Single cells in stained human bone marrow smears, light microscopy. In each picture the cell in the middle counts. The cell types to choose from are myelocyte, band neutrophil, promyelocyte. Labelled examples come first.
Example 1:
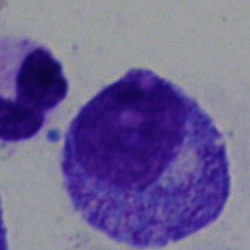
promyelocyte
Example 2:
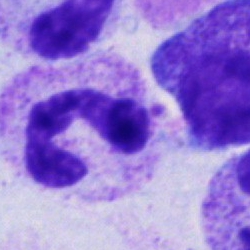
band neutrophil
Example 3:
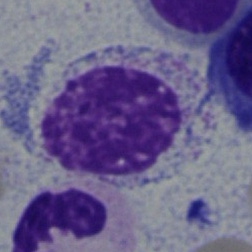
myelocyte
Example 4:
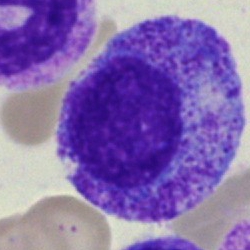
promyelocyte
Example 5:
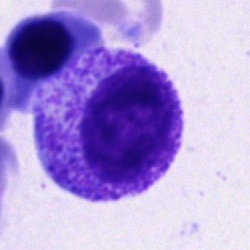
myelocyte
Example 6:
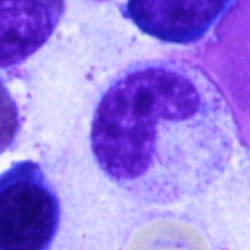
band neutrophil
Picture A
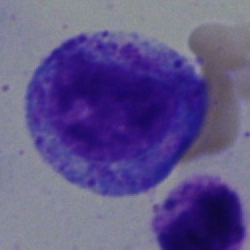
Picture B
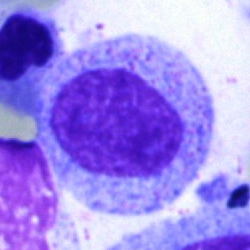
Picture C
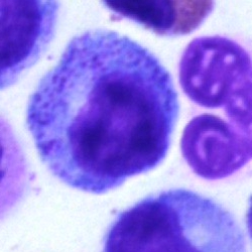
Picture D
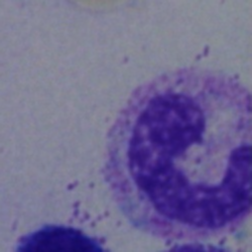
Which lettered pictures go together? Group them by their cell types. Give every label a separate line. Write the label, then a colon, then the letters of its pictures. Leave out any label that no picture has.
myelocyte: B
band neutrophil: D
promyelocyte: A, C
